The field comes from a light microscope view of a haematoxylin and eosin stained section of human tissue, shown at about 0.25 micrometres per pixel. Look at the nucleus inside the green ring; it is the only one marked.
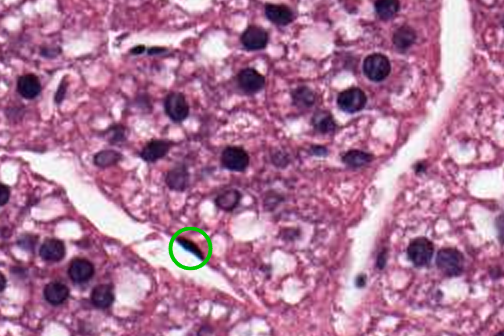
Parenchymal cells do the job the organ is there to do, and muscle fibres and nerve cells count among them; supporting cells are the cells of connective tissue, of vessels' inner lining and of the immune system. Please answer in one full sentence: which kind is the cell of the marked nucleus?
The marked nucleus is held by a supporting cell.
